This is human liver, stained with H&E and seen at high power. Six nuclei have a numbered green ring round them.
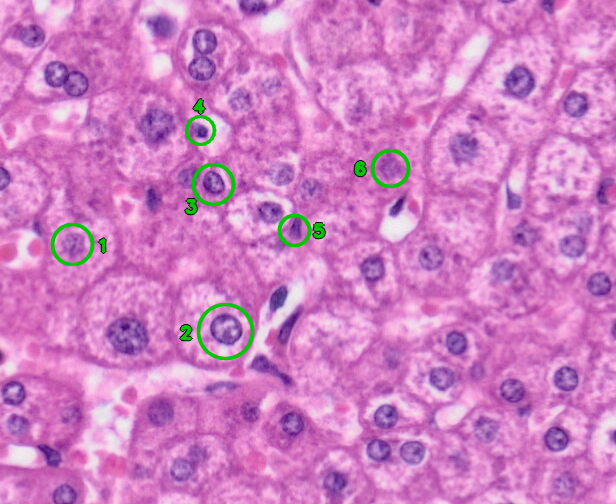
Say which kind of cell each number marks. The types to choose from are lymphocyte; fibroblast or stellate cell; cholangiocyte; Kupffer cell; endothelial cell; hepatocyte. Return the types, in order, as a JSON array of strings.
["hepatocyte", "hepatocyte", "hepatocyte", "lymphocyte", "fibroblast or stellate cell", "hepatocyte"]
